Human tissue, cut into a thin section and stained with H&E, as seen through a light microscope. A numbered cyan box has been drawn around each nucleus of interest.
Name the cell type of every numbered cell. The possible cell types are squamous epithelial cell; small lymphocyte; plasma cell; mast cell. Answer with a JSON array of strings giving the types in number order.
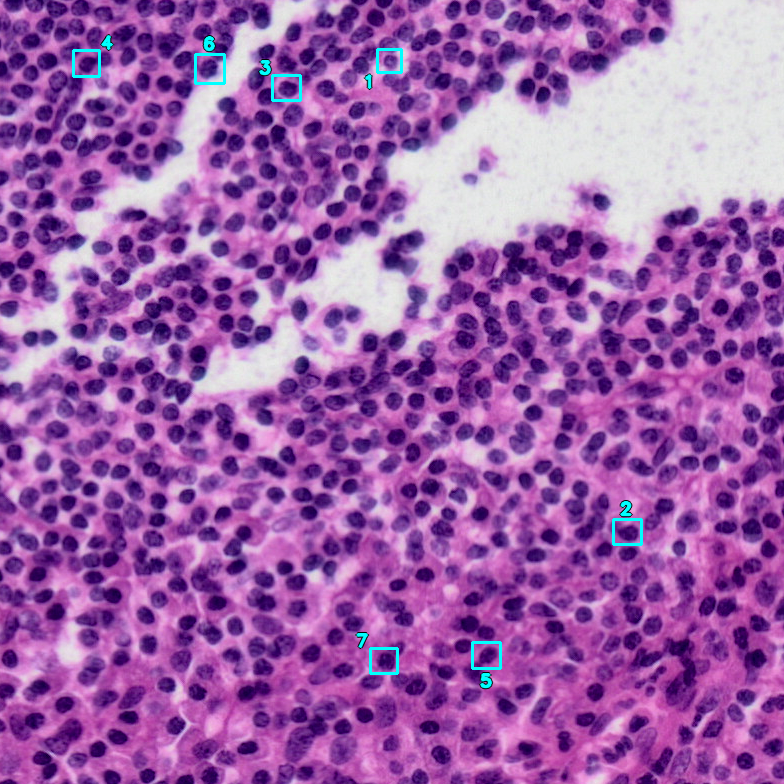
["small lymphocyte", "plasma cell", "small lymphocyte", "small lymphocyte", "plasma cell", "small lymphocyte", "plasma cell"]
